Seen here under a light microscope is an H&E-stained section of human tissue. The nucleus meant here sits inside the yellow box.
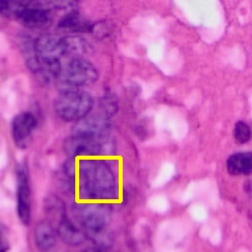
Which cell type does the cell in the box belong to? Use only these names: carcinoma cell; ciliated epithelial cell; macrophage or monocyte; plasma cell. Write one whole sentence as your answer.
The category to which the cell in the box belongs is that of a ciliated epithelial cell.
